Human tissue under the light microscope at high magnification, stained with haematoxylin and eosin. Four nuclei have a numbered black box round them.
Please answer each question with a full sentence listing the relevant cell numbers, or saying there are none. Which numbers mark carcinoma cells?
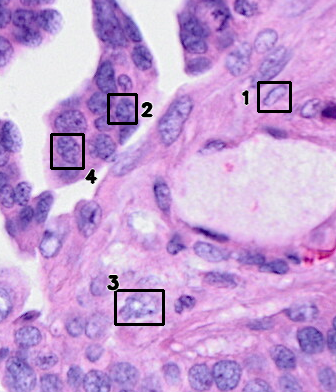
The cells numbered 2 and 4 are identified as carcinoma cells.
